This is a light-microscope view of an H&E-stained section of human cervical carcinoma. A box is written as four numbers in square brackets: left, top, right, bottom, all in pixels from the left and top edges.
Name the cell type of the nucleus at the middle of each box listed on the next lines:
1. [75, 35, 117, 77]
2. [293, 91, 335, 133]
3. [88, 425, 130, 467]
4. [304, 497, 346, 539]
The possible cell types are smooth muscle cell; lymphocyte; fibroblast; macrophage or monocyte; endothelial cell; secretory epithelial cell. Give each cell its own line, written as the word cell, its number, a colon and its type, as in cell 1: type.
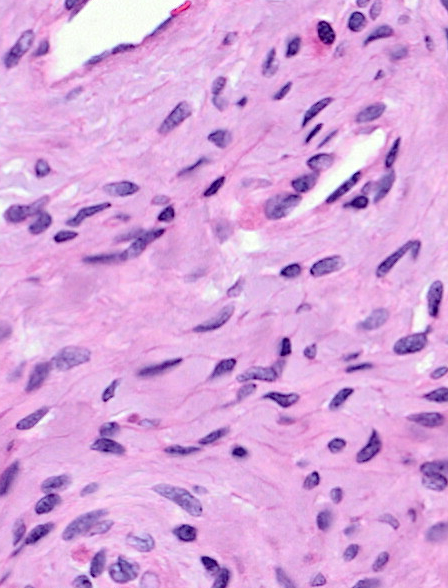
cell 1: endothelial cell
cell 2: fibroblast
cell 3: fibroblast
cell 4: fibroblast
